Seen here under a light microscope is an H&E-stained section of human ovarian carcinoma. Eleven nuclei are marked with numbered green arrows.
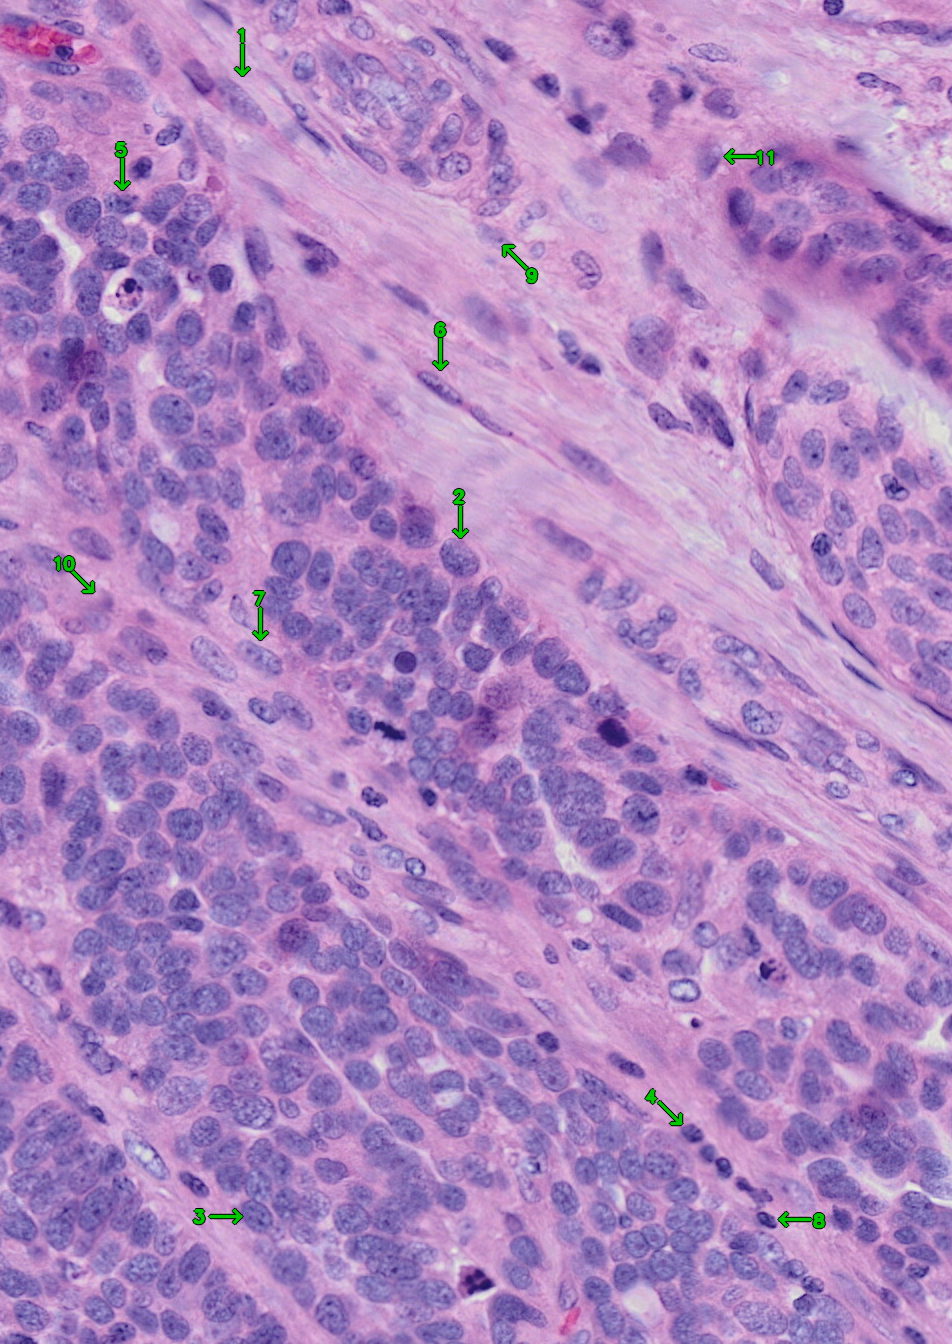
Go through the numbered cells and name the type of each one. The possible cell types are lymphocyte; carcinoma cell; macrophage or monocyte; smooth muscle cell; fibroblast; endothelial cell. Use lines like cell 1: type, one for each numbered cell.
cell 1: fibroblast
cell 2: carcinoma cell
cell 3: carcinoma cell
cell 4: lymphocyte
cell 5: macrophage or monocyte
cell 6: fibroblast
cell 7: fibroblast
cell 8: lymphocyte
cell 9: fibroblast
cell 10: fibroblast
cell 11: fibroblast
